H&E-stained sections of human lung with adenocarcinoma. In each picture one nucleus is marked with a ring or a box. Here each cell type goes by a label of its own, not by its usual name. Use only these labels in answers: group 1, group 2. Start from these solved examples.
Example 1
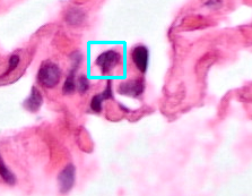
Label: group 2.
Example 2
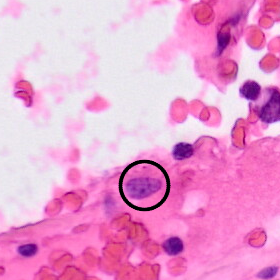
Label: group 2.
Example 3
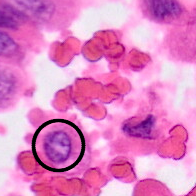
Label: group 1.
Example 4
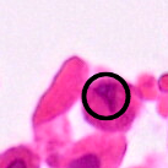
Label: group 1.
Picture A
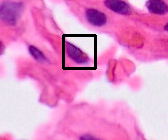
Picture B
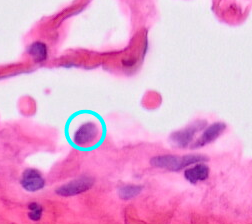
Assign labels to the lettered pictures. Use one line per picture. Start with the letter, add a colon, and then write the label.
A: group 2.
B: group 2.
